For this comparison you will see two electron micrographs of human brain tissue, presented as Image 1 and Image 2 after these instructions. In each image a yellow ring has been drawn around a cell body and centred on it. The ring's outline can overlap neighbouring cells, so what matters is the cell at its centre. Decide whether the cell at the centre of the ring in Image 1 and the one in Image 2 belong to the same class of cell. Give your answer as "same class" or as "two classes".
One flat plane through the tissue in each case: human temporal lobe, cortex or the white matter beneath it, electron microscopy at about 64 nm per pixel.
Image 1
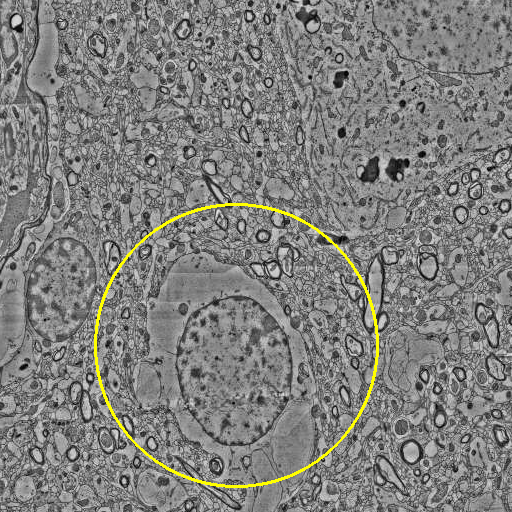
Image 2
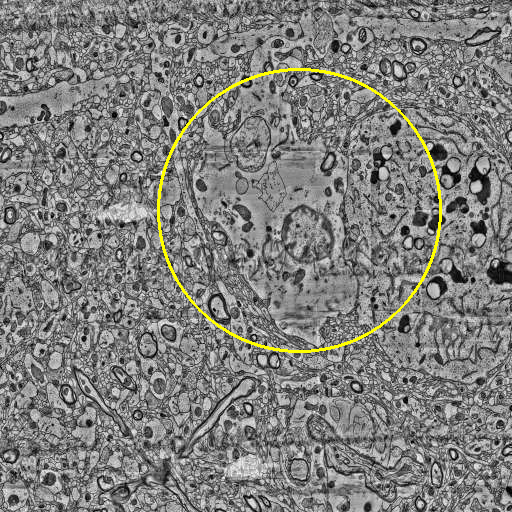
same class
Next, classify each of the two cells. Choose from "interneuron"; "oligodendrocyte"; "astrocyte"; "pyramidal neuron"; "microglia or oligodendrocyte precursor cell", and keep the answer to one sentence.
In both pictures the ring is centred on an astrocyte.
